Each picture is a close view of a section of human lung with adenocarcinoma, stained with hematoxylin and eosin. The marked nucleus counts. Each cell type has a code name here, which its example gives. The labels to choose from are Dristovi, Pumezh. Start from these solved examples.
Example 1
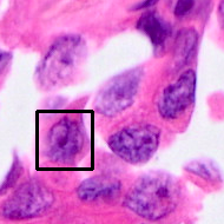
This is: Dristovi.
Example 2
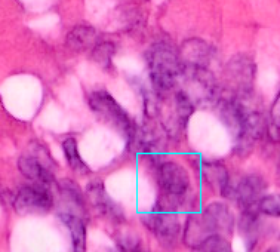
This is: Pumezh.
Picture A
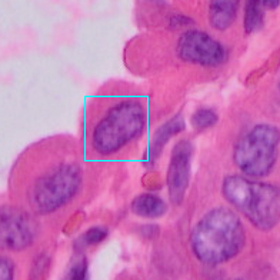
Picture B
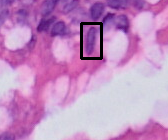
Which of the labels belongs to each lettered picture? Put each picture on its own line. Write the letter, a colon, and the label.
A: Dristovi.
B: Pumezh.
